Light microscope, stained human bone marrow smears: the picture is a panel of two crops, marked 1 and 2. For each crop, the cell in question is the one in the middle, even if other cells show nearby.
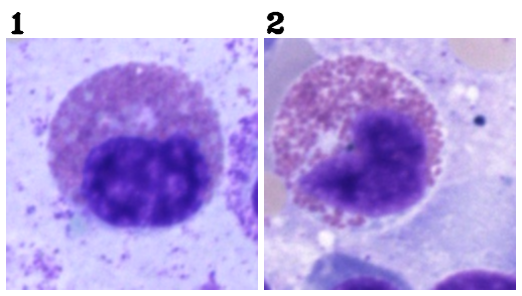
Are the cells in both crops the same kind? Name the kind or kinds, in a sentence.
Yes, the two crops are alike in showing eosinophils.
